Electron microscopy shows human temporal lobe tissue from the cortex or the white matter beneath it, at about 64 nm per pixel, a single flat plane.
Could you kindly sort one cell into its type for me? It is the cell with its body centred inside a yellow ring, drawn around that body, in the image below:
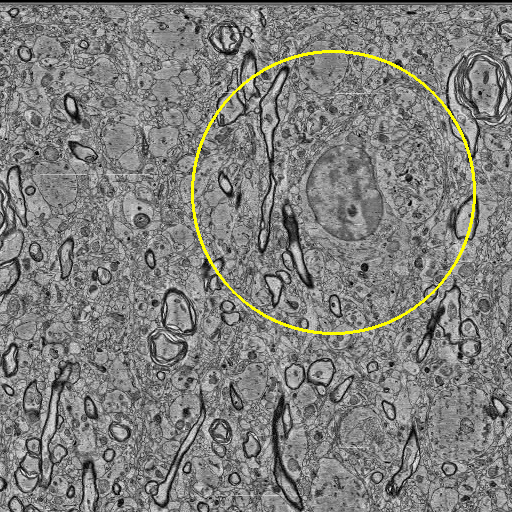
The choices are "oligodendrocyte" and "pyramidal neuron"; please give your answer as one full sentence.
The cell whose body lies centred in the yellow ring here is an oligodendrocyte.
